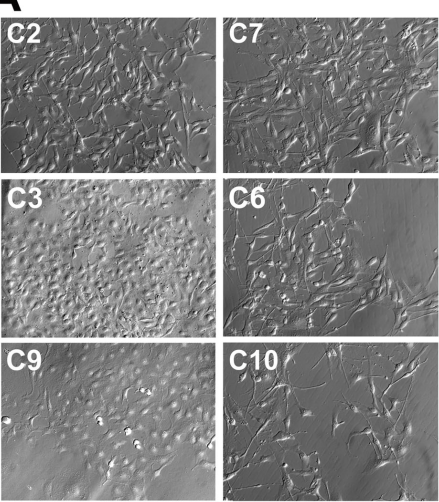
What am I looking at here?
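In most fields the cells are elongated and spindle-shaped, with long tapering processes, and they spread across the dish in a loose crisscrossing network. In one field the cells are instead polygonal and packed closely together.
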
